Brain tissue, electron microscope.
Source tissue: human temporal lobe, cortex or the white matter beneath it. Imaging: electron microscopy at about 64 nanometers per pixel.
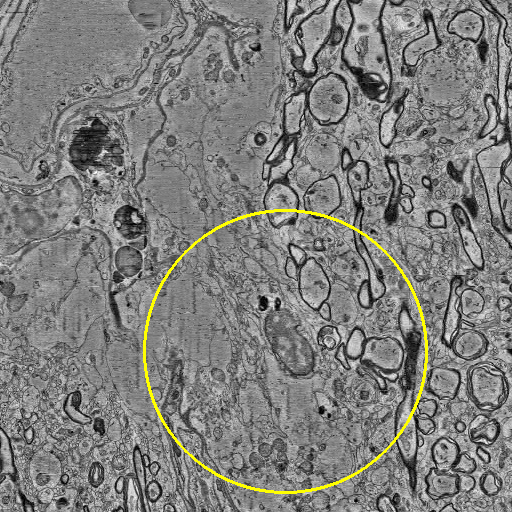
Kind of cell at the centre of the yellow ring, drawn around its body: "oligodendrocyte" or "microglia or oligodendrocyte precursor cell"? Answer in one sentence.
The ring's centre falls on a microglial cell or oligodendrocyte precursor cell.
